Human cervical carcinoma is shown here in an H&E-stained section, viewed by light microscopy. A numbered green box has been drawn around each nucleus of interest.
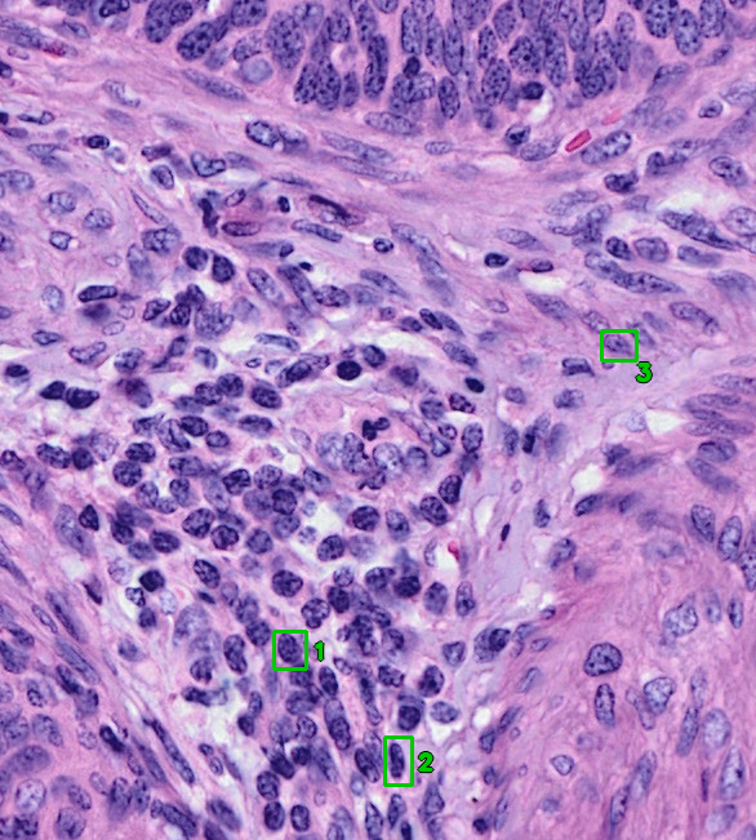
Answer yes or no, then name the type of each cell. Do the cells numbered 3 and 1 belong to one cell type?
No, rather, cell 3 is a smooth muscle cell and cell 1 is a lymphocyte.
